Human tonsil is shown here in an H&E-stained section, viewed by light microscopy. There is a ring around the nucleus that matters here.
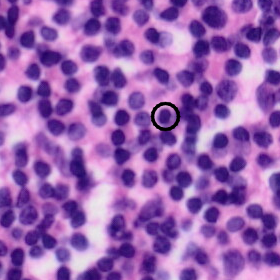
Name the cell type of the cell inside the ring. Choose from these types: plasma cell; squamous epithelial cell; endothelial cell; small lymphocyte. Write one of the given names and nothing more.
small lymphocyte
